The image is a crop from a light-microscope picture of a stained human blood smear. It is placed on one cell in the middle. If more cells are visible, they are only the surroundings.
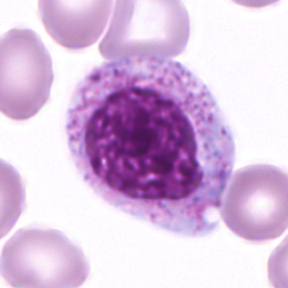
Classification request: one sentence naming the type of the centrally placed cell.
In the centre of this crop there is a myelocyte.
